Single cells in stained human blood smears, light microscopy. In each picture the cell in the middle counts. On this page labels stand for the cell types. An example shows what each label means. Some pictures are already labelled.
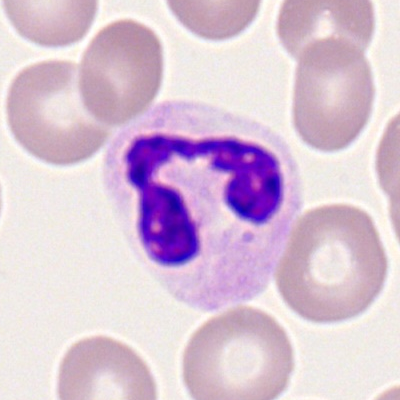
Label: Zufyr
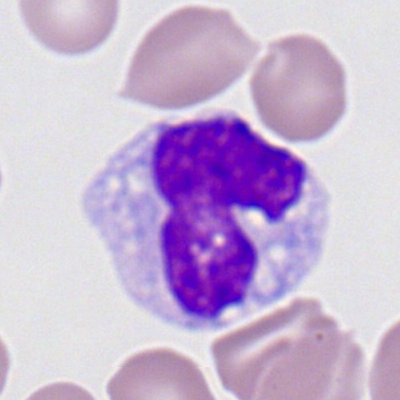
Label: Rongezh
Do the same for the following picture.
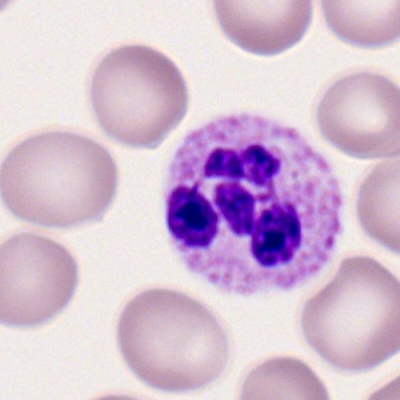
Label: Zufyr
